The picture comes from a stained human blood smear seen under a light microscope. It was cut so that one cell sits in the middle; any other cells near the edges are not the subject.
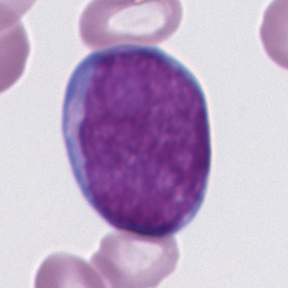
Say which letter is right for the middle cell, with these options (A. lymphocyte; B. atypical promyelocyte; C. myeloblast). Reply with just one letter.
C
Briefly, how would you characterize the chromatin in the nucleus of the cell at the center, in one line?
The chromatin is fine, with no coarse clumping anywhere.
